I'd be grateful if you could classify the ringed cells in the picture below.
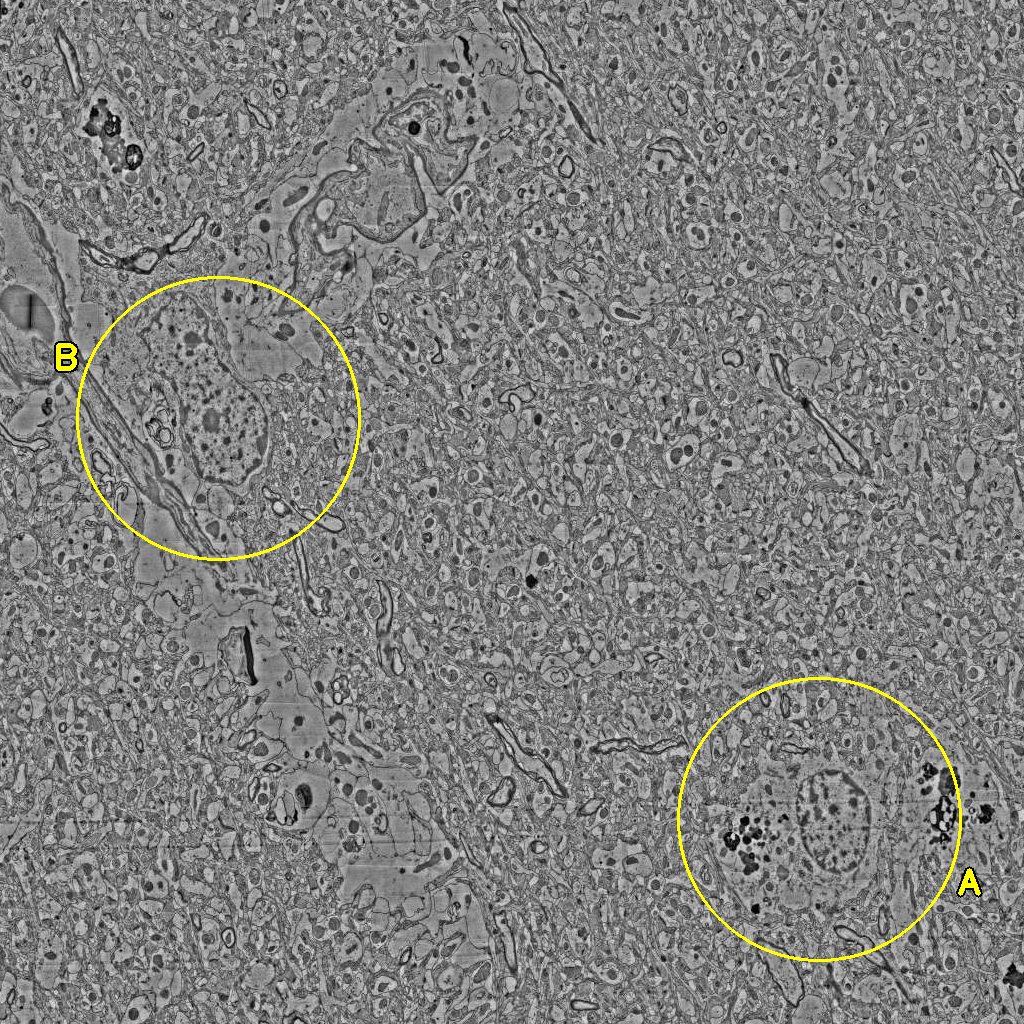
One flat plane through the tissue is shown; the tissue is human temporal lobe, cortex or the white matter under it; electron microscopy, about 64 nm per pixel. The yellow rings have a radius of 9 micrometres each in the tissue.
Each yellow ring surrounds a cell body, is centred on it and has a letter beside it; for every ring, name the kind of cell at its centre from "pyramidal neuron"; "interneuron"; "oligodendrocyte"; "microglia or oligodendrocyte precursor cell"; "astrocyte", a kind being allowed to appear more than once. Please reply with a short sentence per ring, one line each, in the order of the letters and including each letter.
In ring A we have an astrocyte.
In ring B we have a microglial cell or oligodendrocyte precursor cell.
